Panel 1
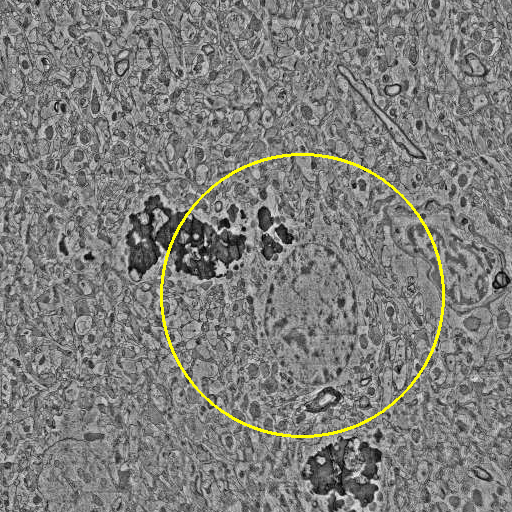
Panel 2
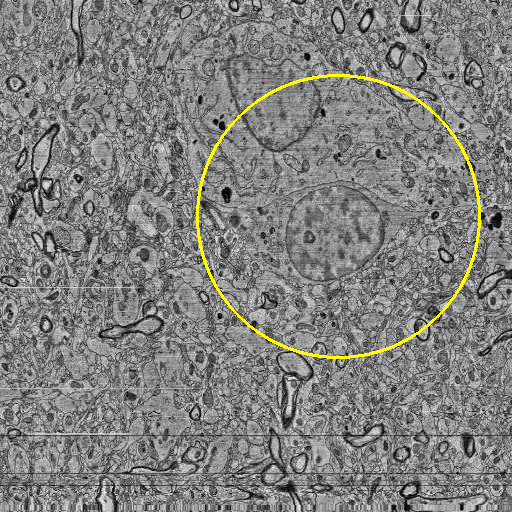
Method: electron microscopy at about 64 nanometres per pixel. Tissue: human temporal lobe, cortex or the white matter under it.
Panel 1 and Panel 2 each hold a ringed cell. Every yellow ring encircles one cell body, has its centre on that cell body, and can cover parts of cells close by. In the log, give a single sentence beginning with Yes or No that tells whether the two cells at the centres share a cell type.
No, in Panel 1 and Panel 2 the centred cells are of two cell types.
